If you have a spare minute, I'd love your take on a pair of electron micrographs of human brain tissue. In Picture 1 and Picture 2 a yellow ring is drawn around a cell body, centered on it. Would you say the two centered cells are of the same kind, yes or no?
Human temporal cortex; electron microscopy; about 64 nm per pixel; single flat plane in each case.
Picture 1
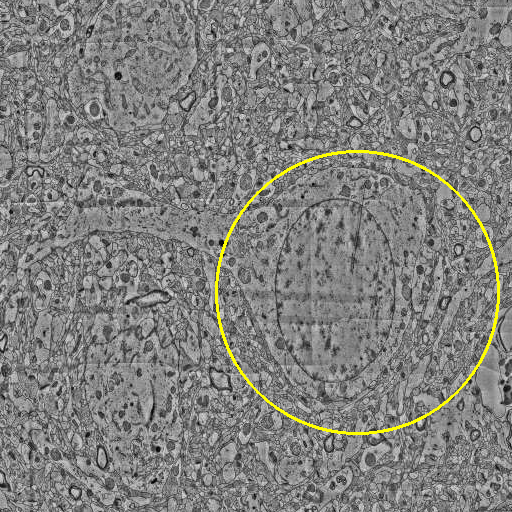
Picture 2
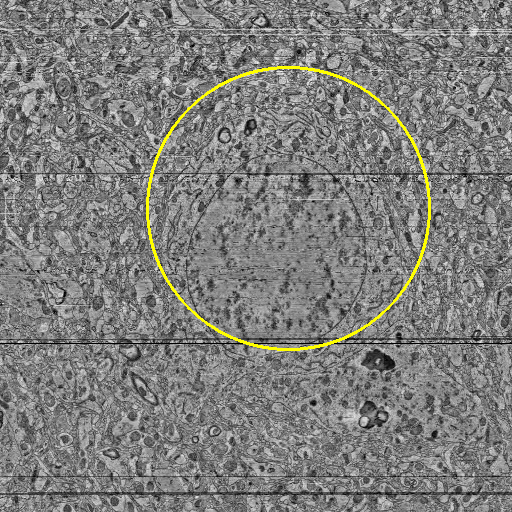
yes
